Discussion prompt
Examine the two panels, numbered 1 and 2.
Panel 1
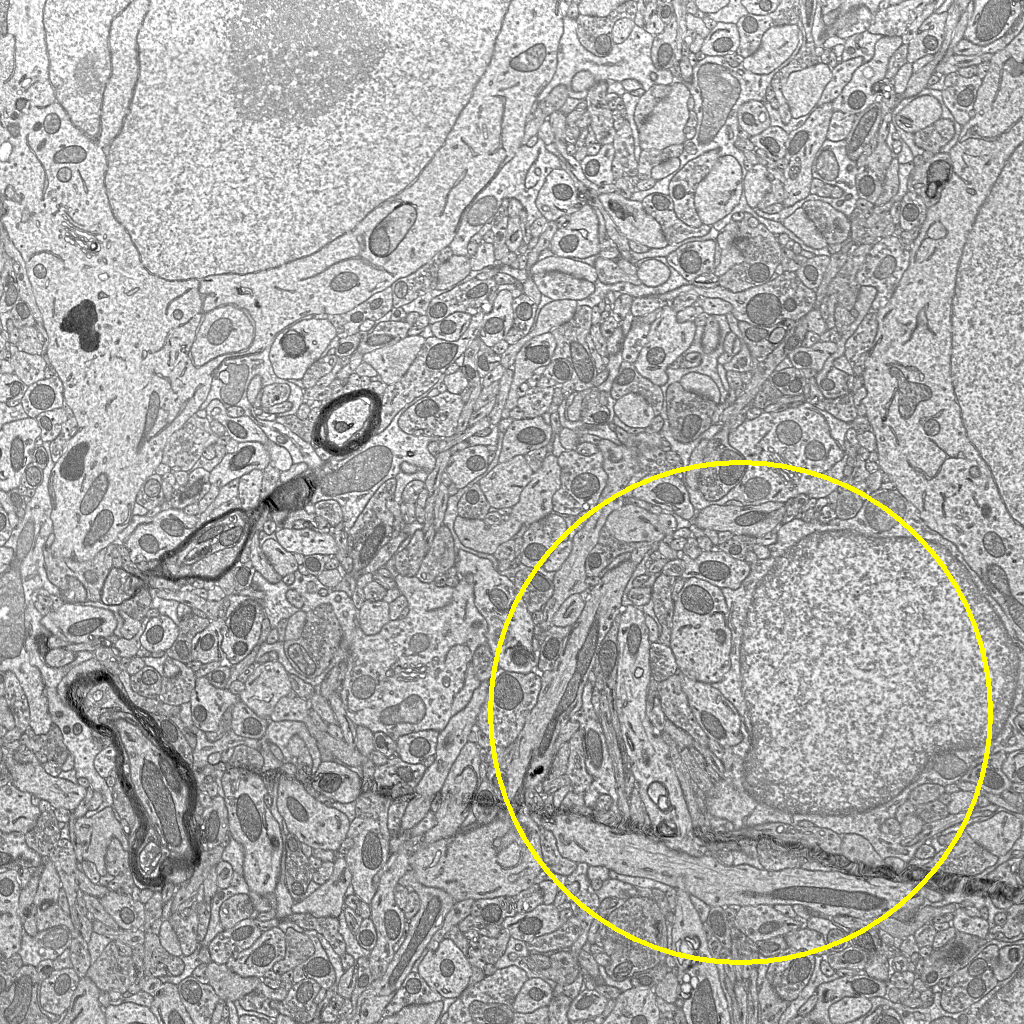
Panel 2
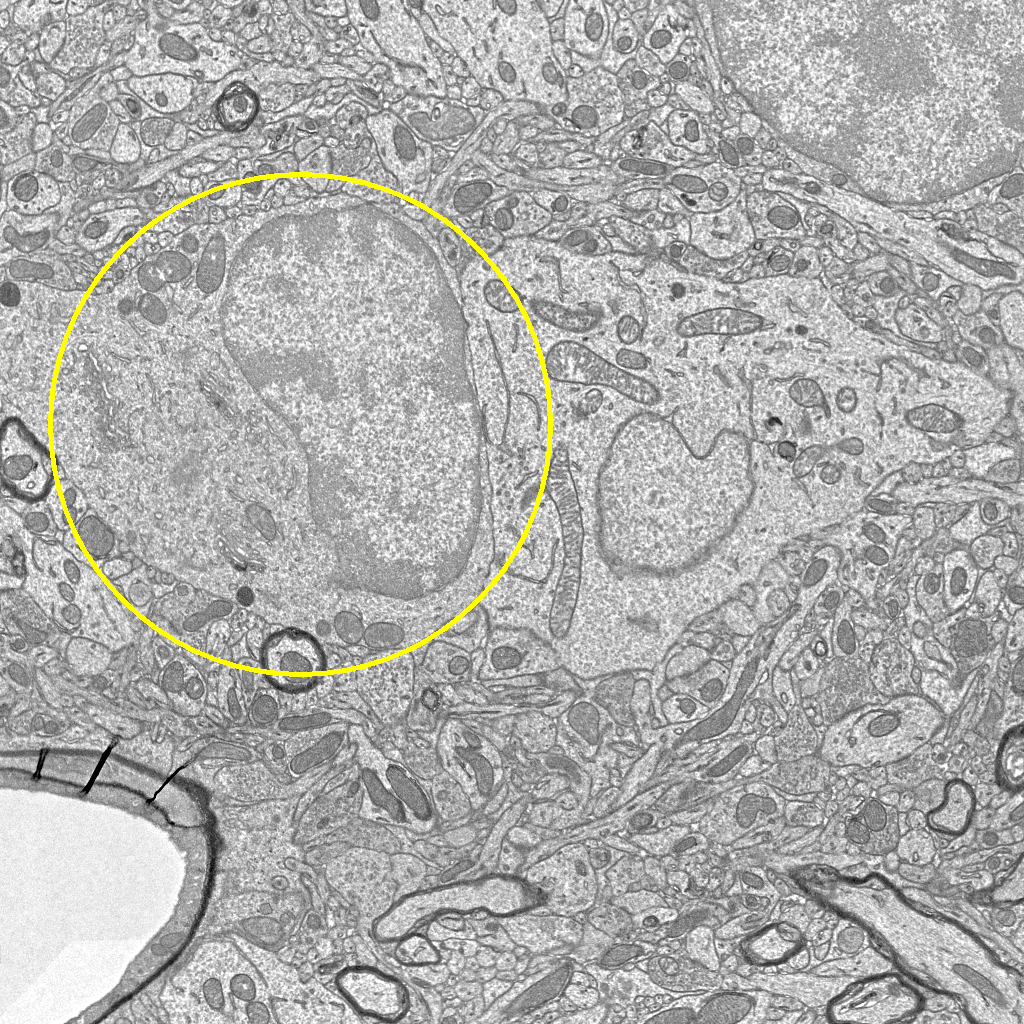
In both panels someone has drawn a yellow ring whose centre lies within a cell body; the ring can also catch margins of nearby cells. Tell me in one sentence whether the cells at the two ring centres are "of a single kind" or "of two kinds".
Taken together, the two cells at the ring centres of Panels 1 and 2 are of two kinds.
